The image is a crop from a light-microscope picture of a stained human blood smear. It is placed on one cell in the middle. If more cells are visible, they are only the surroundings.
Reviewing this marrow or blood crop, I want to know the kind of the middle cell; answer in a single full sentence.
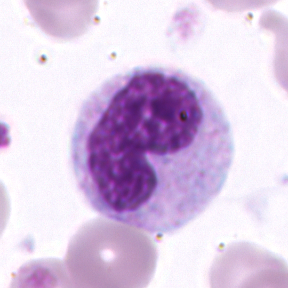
In the middle of this smear crop is a band neutrophil.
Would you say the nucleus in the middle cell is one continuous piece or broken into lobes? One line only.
Worth pointing out that its nucleus is one compact mass, round, oval or reniform.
